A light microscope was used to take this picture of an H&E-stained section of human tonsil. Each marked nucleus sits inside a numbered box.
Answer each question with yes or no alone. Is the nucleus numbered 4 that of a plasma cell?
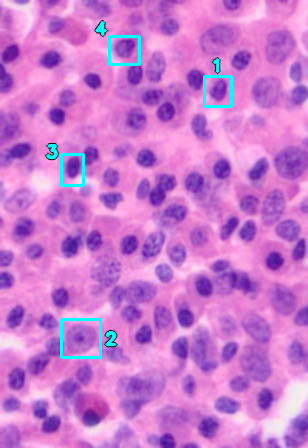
yes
